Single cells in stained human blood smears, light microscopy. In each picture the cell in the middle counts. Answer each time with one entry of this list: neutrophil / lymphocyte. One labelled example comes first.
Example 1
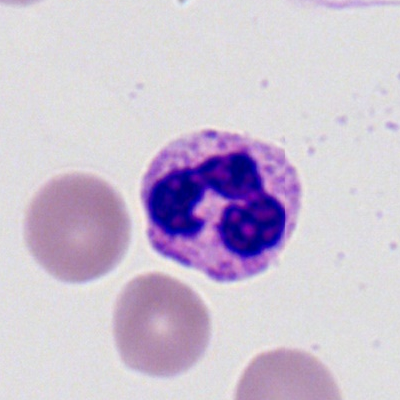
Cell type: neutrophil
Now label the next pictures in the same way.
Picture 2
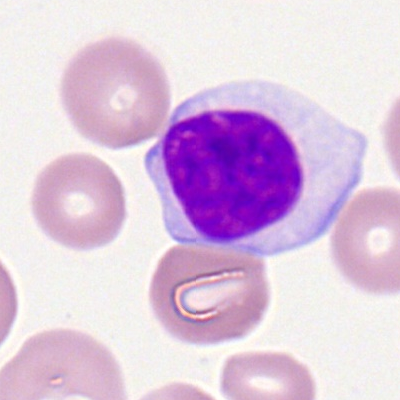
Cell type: lymphocyte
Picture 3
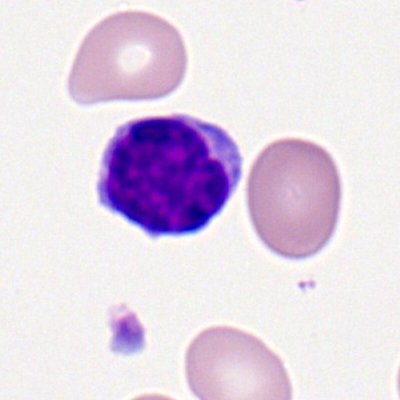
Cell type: lymphocyte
